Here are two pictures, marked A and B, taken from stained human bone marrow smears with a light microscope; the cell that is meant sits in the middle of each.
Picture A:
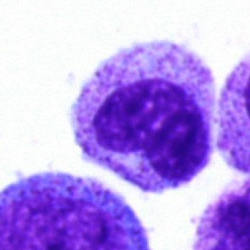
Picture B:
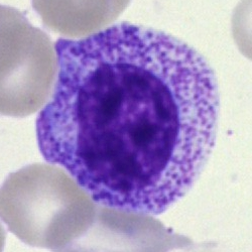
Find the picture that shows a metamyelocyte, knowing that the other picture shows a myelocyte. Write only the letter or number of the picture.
A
